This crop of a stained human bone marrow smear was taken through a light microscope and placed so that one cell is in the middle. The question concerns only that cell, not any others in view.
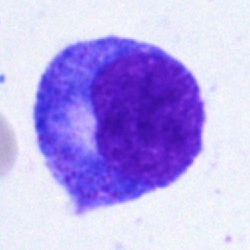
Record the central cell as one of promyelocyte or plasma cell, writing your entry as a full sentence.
The cell nearest the centre of this crop is a promyelocyte.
